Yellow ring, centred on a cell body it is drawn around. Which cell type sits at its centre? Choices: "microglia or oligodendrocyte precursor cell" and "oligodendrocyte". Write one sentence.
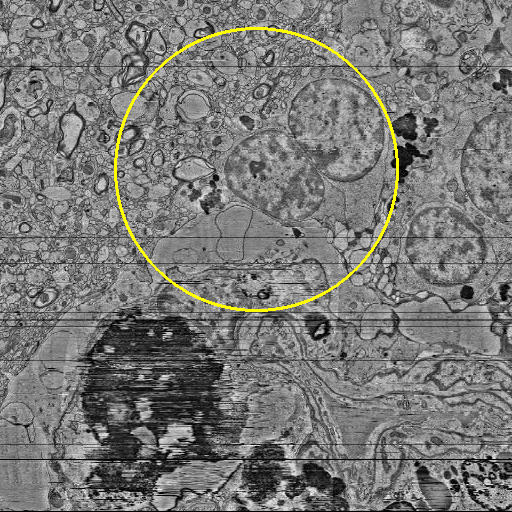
At the centre of the ring sits an oligodendrocyte.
